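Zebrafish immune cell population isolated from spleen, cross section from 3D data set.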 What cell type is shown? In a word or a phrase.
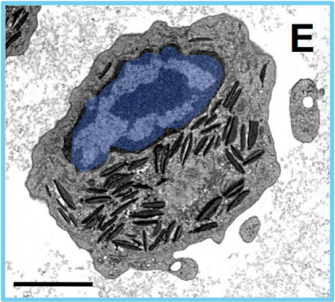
neutrophils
